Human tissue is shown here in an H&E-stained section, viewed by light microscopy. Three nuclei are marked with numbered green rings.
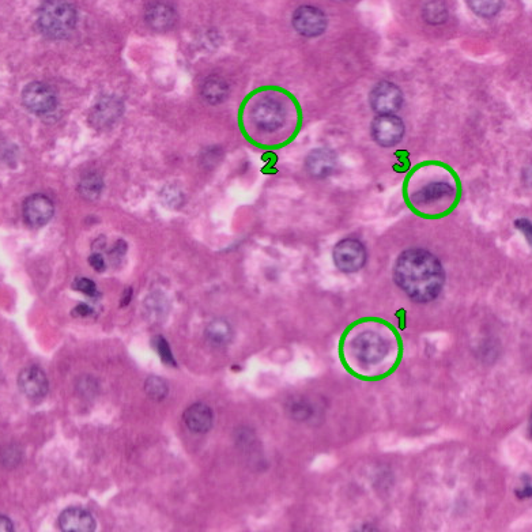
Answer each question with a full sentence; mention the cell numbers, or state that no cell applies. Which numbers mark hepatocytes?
The cells tagged 1 and 2 are hepatocytes in this tissue section.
